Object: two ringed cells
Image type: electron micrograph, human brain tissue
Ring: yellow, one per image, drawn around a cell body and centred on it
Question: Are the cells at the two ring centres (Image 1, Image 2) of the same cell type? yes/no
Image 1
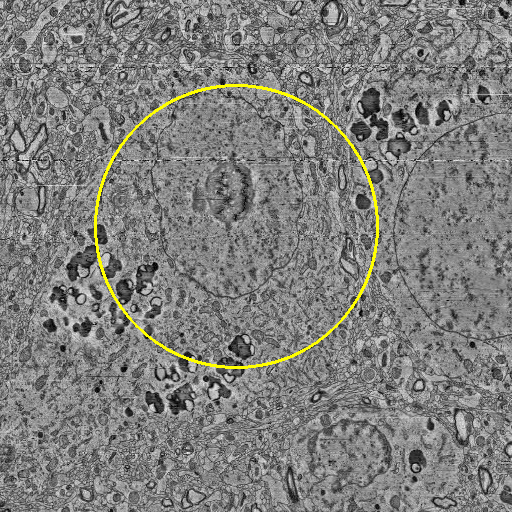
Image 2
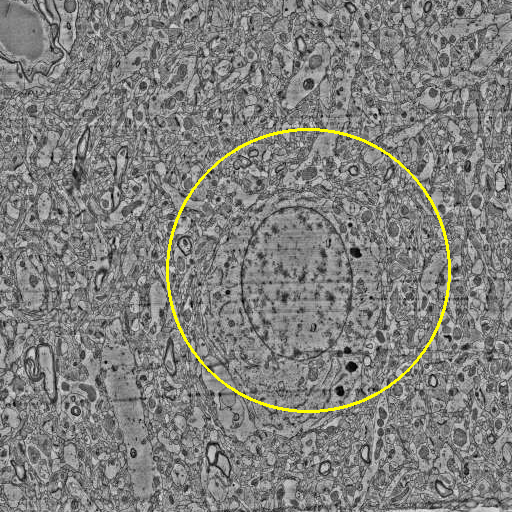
yes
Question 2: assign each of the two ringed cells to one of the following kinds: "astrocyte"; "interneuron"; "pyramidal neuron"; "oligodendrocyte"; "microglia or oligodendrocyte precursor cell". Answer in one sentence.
Each of the two pictures has a pyramidal neuron at the ring centre.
